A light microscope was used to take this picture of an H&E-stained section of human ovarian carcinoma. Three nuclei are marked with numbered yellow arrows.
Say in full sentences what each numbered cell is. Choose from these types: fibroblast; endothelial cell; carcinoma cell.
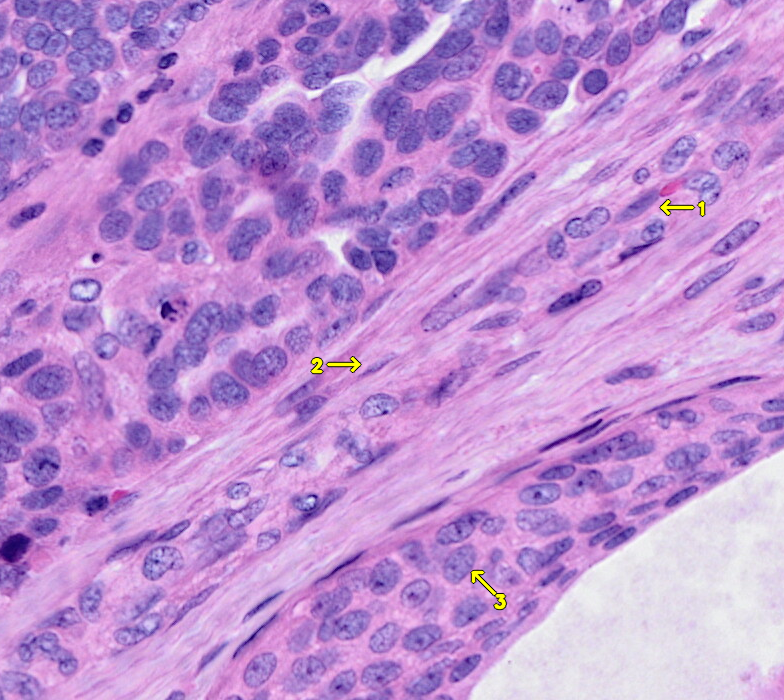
Cell 1 is an endothelial cell, cell 2 is a fibroblast and cell 3 is a carcinoma cell.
